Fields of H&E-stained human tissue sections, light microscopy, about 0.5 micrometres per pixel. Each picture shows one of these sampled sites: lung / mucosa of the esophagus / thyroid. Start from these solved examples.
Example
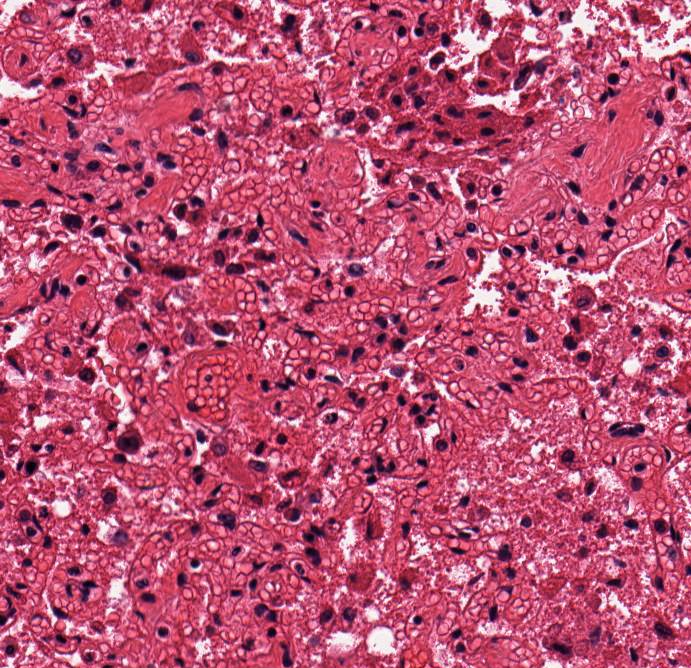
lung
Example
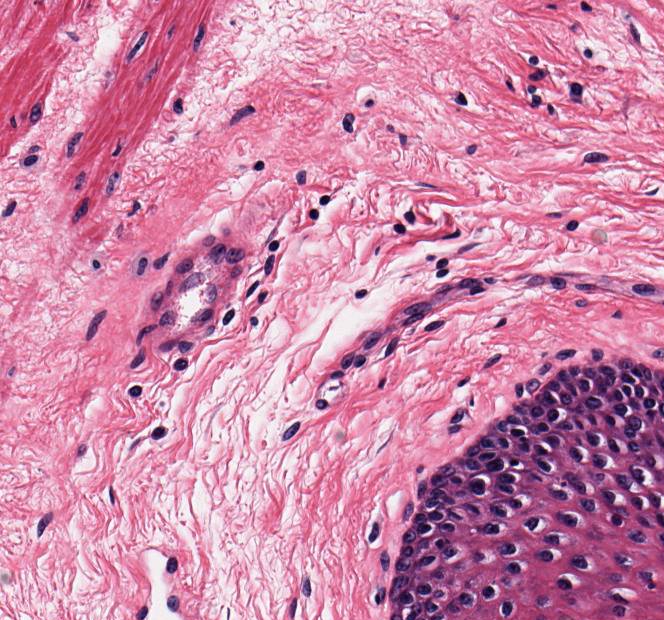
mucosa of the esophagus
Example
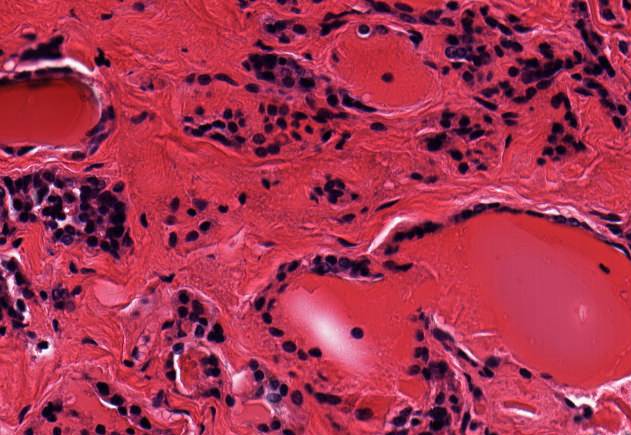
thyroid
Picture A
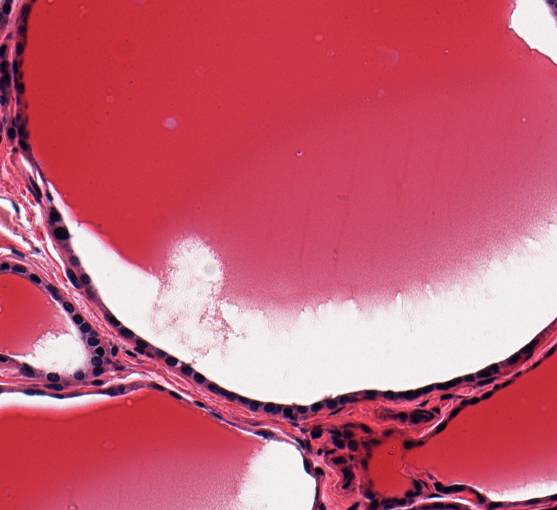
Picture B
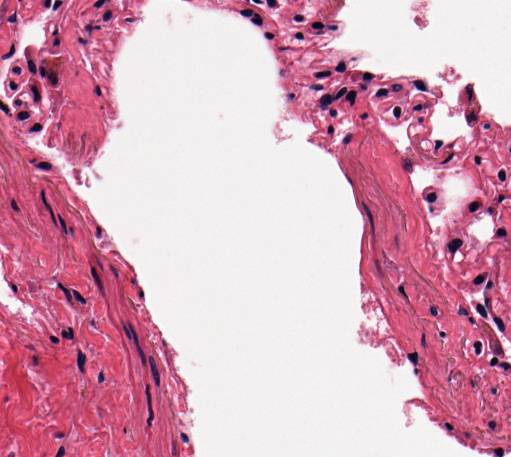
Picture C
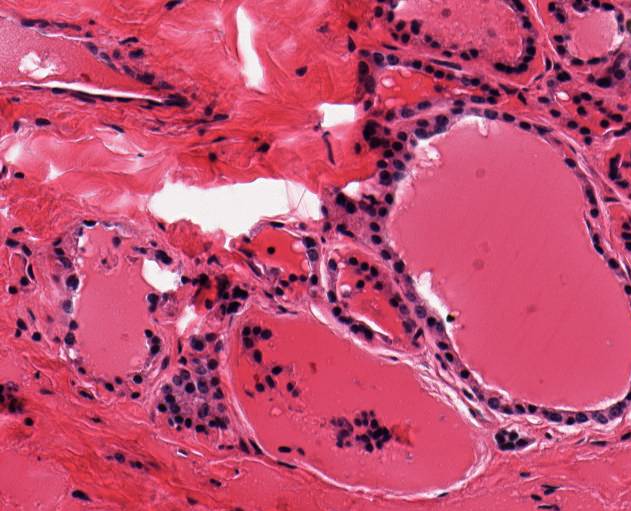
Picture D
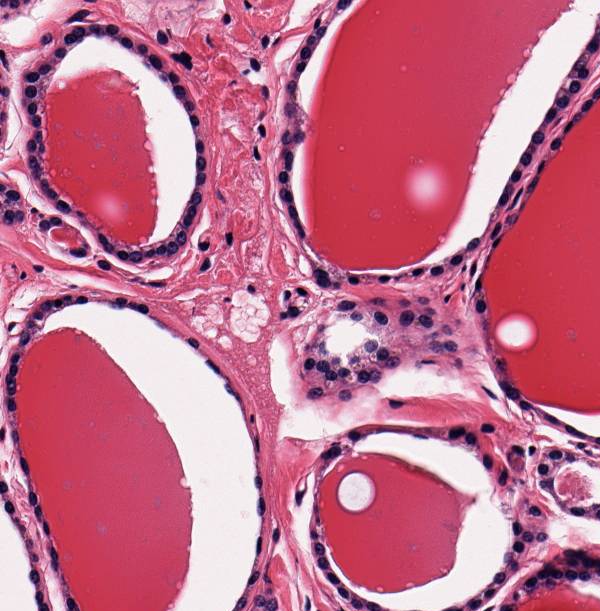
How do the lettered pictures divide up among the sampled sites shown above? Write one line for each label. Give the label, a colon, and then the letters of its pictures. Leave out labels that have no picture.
lung: B
thyroid: A, C, D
